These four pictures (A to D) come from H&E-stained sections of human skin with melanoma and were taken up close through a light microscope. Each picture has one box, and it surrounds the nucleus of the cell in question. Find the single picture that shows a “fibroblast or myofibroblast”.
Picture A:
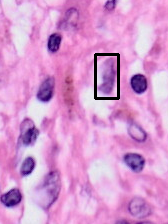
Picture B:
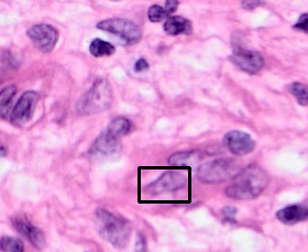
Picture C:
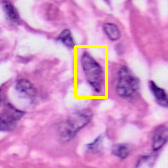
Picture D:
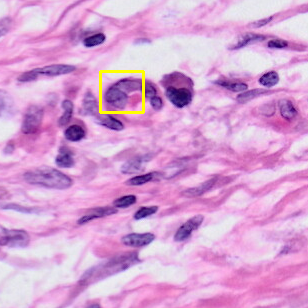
A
